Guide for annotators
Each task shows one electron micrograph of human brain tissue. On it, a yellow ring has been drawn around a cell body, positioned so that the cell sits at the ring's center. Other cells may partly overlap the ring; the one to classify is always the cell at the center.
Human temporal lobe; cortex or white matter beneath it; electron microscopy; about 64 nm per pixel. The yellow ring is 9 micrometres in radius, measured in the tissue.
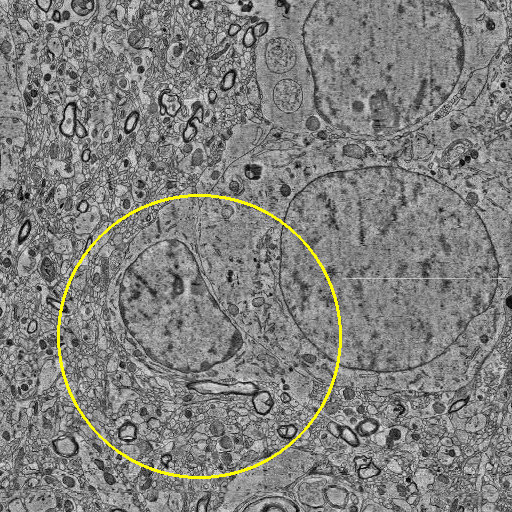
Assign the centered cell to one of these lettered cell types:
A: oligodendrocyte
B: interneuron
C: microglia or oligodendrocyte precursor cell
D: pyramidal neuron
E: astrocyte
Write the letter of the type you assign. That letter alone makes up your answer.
C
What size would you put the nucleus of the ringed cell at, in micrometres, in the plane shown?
The ringed cell's nucleus measures approximately 9 by 7 micrometres in this plane.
